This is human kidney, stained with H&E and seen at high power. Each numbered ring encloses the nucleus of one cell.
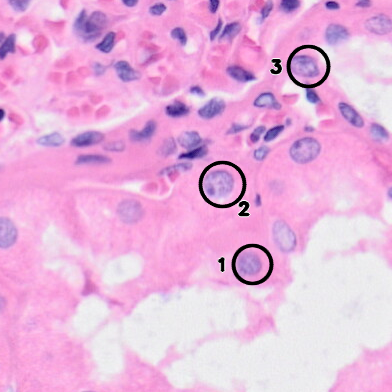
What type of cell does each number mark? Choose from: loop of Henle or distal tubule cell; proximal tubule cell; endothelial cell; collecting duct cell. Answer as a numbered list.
1. proximal tubule cell
2. proximal tubule cell
3. loop of Henle or distal tubule cell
